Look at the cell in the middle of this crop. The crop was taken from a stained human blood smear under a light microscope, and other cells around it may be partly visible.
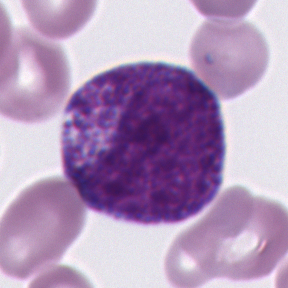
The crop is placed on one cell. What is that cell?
myelocyte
